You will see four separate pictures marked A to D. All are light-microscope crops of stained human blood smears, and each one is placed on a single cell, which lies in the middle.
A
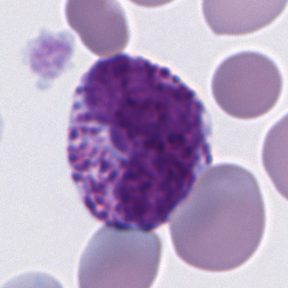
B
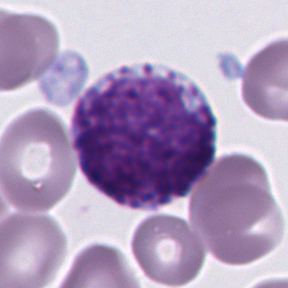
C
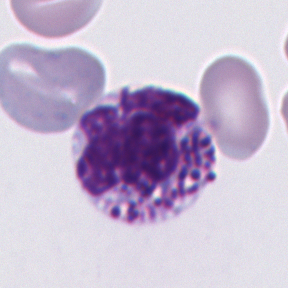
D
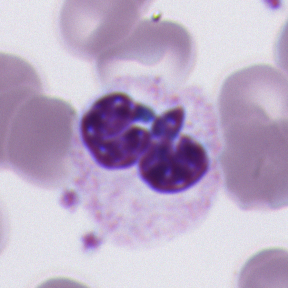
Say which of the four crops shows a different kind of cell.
D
